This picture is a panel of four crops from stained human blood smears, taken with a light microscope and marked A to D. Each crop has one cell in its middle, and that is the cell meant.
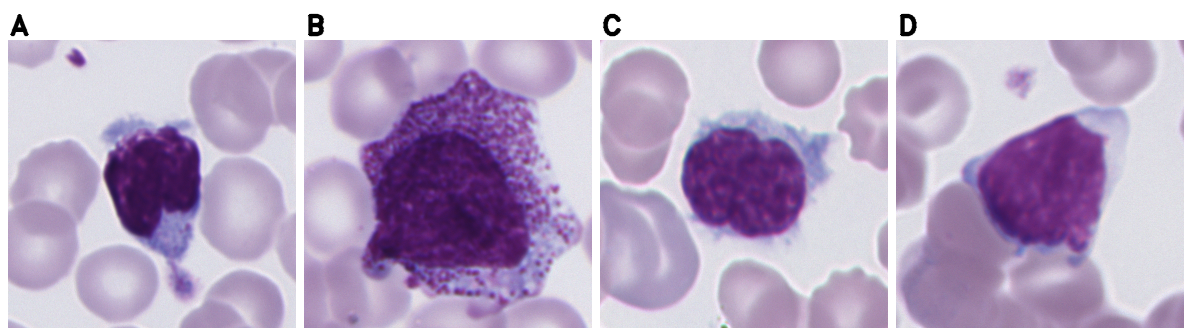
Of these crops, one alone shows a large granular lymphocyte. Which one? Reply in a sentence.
In this series, a large granular lymphocyte is shown by crop D.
